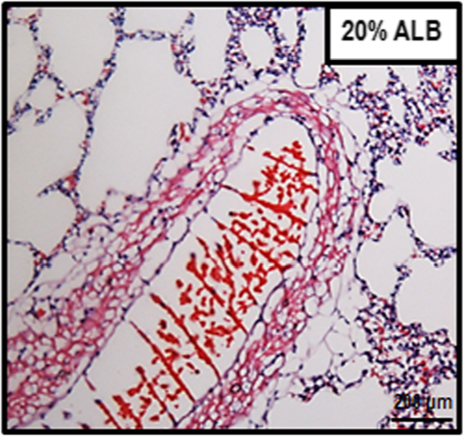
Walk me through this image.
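This is lung parenchyma with a blood vessel cut lengthwise through the middle of the field. Its wall is a band of pink, layered tissue, and the lumen holds streaks of red-stained blood. On either side lie large clear alveolar airspaces bounded by thin septa dotted with purple nuclei.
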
